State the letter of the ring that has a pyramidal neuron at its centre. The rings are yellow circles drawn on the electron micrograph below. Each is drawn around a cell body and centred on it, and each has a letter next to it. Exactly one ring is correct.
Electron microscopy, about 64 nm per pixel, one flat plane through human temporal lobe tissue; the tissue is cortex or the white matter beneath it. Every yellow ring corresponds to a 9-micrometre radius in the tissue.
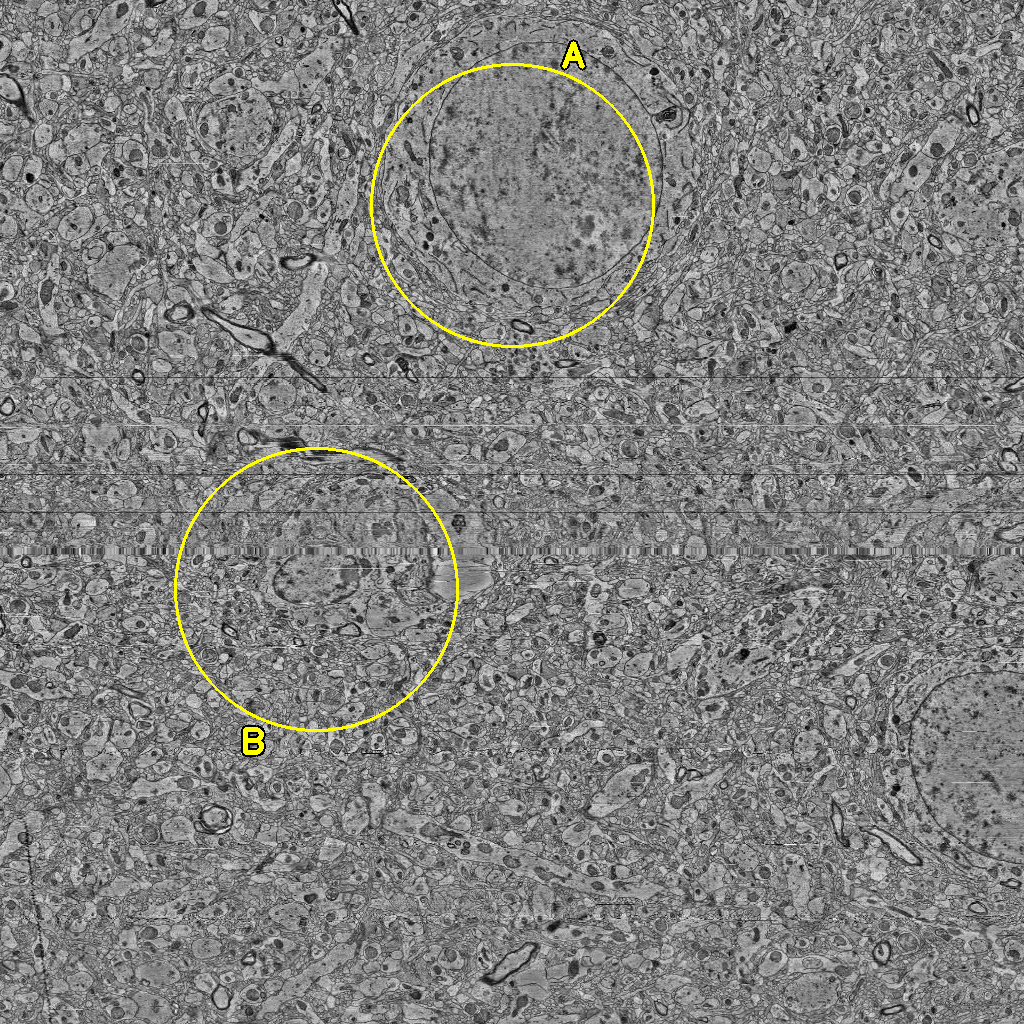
A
